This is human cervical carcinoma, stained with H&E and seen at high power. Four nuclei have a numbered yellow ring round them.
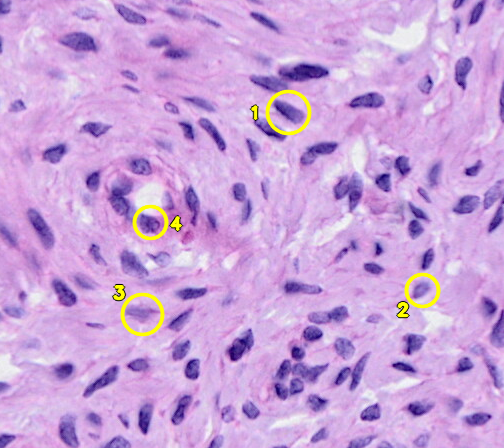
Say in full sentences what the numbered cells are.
Cell 1 is a fibroblast, cell 2 is a fibroblast, cell 3 is a fibroblast and cell 4 is an endothelial cell.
